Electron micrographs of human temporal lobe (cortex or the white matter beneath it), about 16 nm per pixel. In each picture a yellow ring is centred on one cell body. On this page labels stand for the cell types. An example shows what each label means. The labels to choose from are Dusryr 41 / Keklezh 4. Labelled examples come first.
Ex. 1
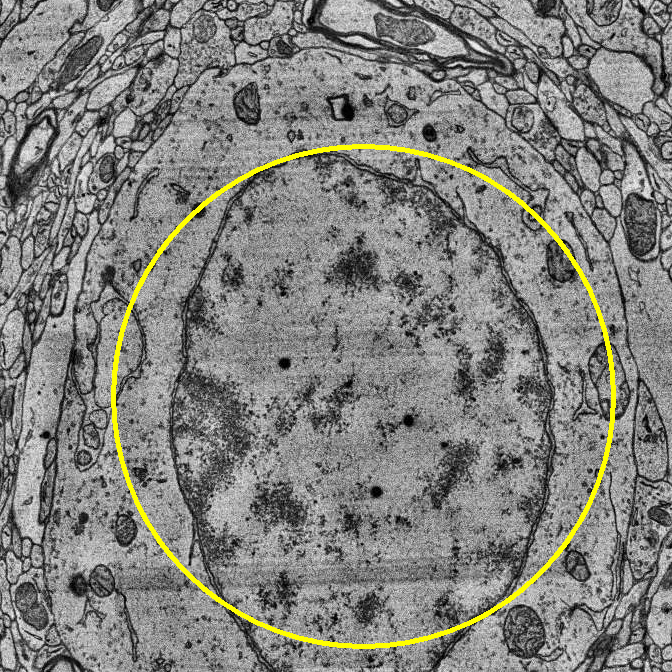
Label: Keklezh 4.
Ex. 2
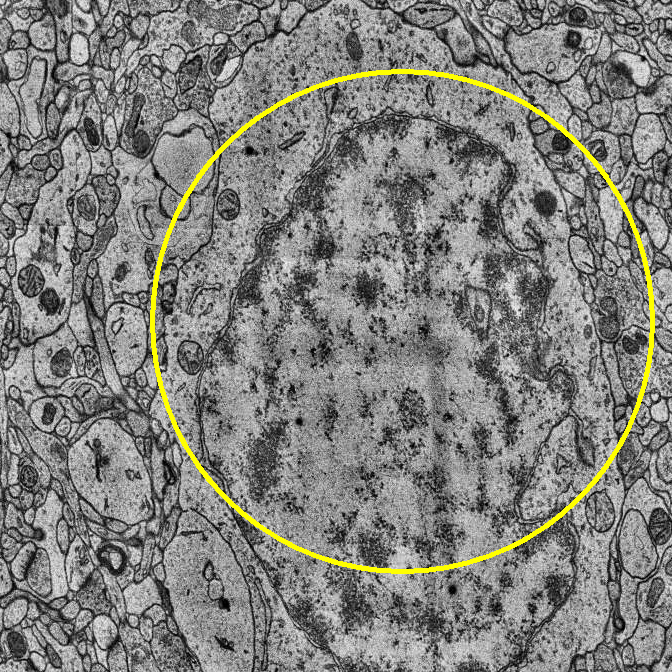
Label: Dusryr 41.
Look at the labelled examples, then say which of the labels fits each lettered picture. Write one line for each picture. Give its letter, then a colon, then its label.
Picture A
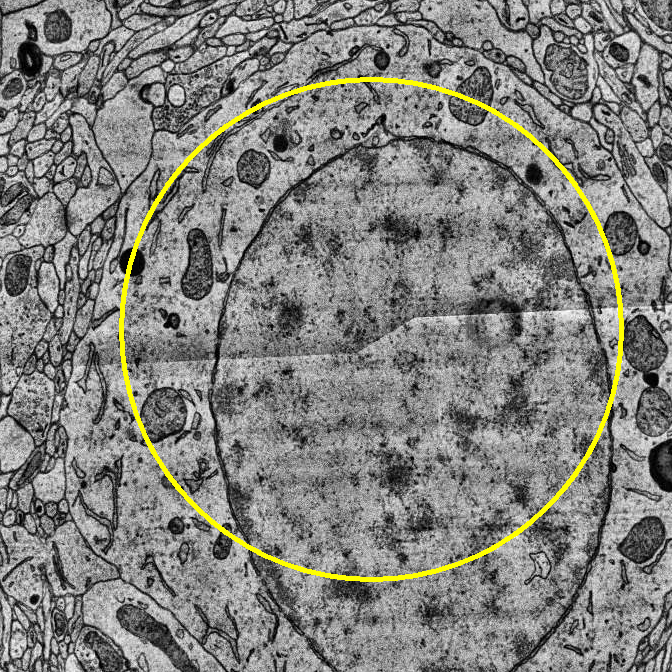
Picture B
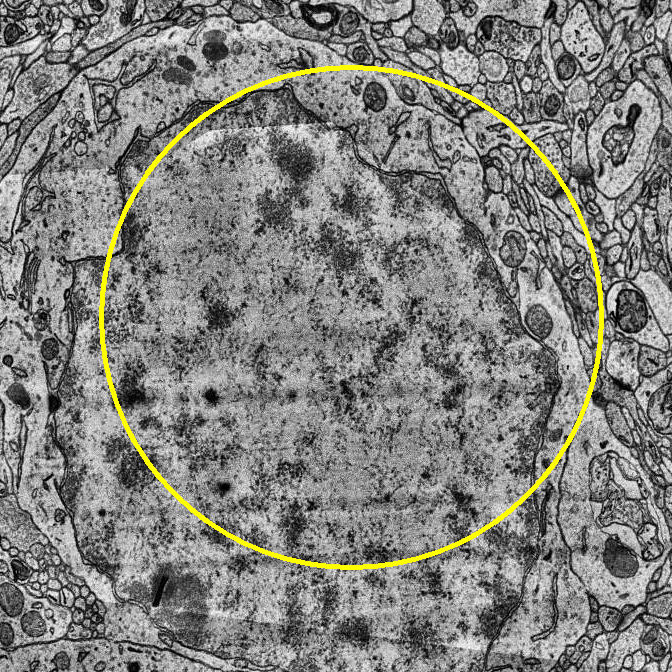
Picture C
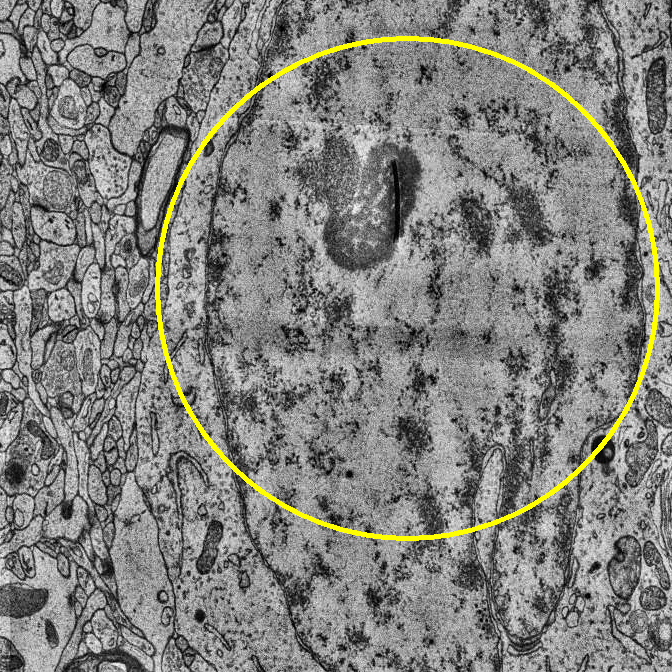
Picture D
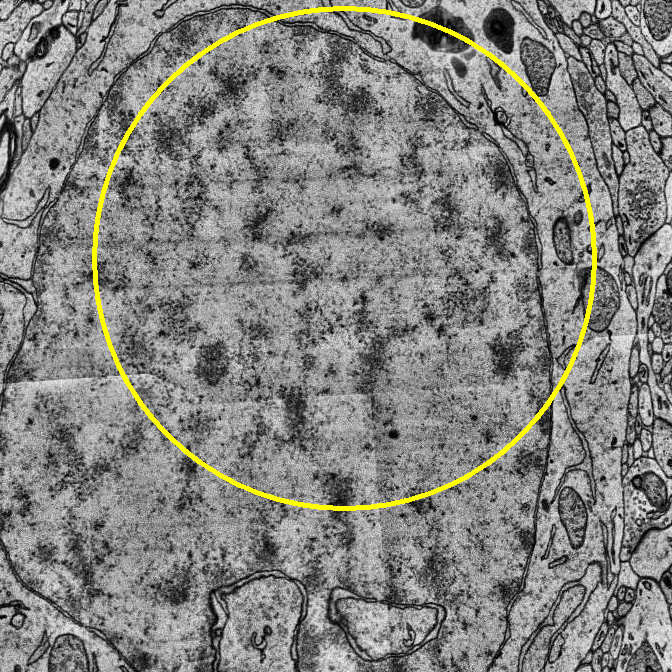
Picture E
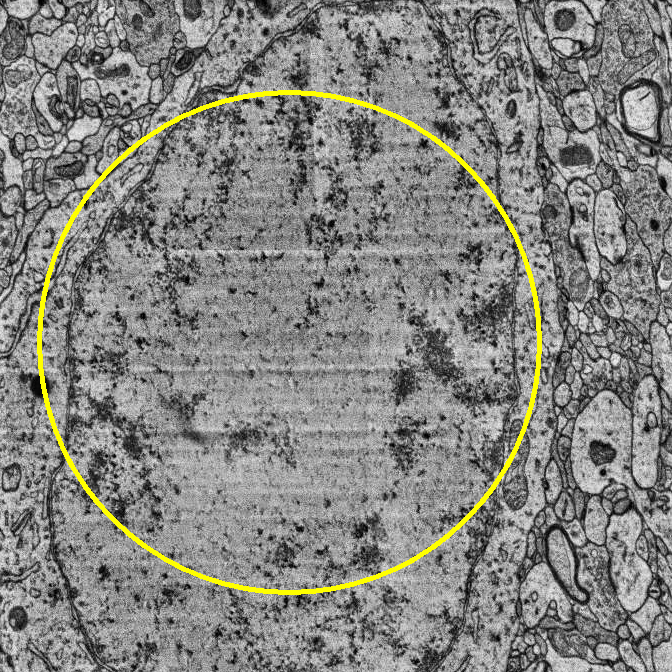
A: Keklezh 4.
B: Dusryr 41.
C: Dusryr 41.
D: Dusryr 41.
E: Dusryr 41.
